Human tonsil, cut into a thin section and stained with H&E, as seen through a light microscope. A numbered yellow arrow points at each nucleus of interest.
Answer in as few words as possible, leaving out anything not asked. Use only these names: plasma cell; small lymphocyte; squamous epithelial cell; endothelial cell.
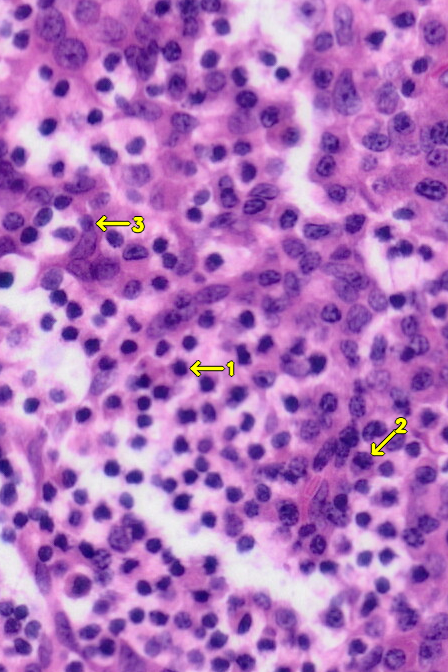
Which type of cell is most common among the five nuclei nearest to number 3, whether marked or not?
squamous epithelial cell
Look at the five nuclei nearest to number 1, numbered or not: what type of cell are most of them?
plasma cell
